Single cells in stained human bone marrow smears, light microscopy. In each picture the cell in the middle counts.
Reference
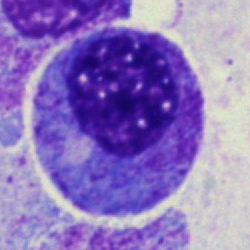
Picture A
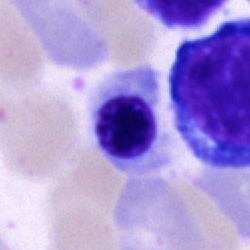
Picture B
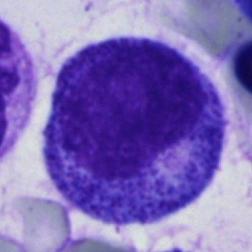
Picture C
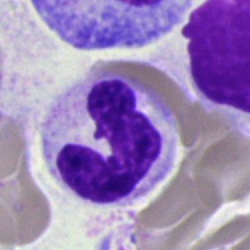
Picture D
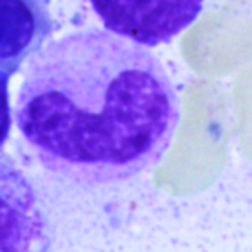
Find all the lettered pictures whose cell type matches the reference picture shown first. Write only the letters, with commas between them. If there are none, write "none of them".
B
